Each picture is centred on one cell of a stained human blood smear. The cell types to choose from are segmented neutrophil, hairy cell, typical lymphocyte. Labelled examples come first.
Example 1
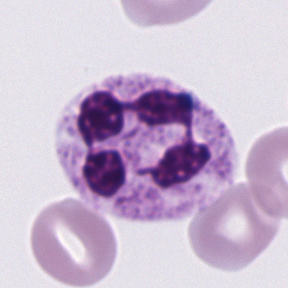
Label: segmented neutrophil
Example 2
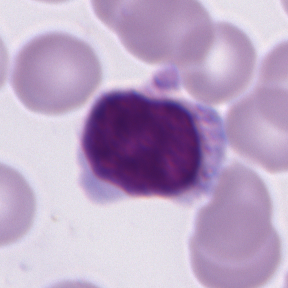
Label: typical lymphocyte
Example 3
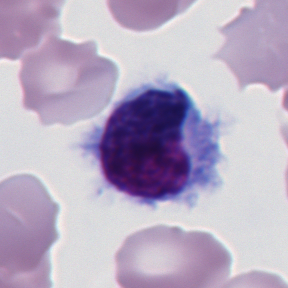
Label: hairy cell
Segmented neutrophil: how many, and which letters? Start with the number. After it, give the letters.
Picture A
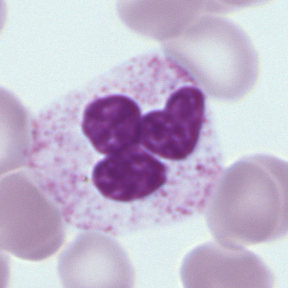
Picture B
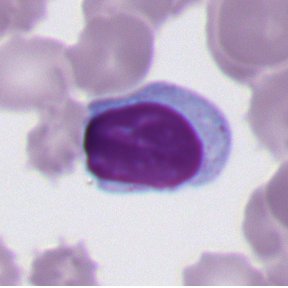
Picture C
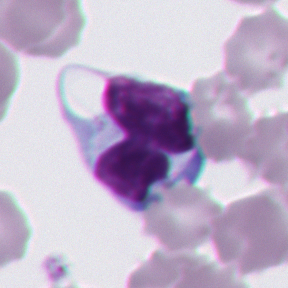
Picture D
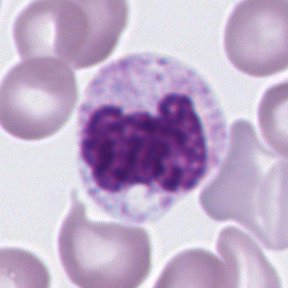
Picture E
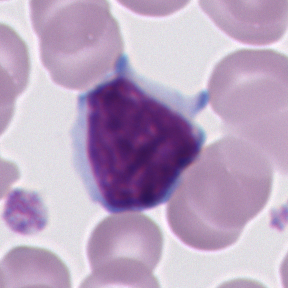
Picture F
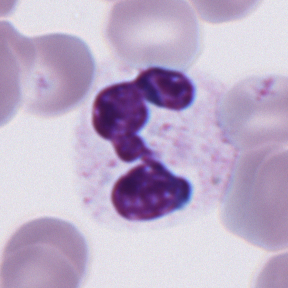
3: A, D, F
